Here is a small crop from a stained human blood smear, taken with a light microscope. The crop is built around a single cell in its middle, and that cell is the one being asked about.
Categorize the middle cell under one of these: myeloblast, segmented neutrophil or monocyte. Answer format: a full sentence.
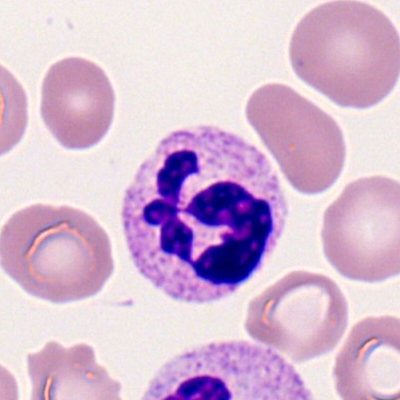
The cell sitting right in the middle is a segmented neutrophil.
